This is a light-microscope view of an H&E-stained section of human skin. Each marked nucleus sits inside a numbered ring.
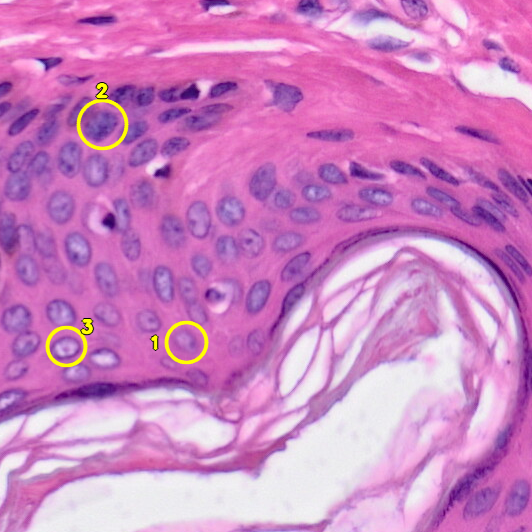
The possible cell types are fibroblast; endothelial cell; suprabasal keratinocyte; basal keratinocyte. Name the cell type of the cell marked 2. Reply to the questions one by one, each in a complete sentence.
The cell bearing label 2 corresponds to a basal keratinocyte.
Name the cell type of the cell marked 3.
The correct label for cell 3 is a suprabasal keratinocyte.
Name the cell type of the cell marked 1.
Cell 1, among those numbered, is a suprabasal keratinocyte.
